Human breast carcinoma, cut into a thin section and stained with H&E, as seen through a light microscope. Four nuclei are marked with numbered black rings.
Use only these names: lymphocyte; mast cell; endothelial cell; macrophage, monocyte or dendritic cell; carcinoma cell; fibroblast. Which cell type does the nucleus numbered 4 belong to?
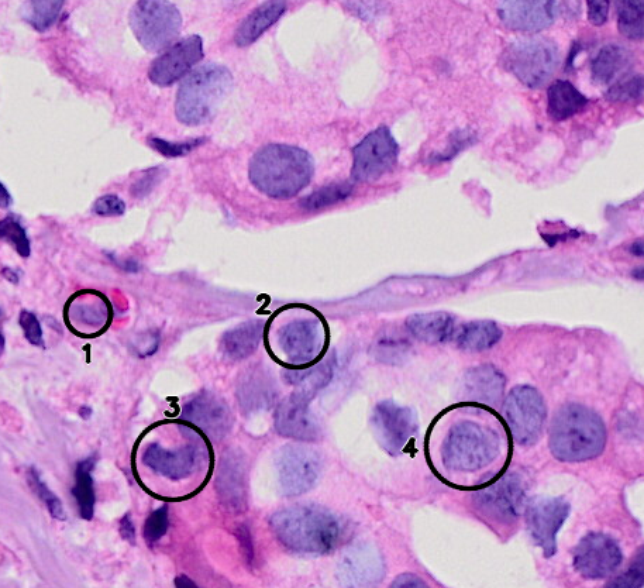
carcinoma cell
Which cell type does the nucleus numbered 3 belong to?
carcinoma cell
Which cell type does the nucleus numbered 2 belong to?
carcinoma cell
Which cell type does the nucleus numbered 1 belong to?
endothelial cell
